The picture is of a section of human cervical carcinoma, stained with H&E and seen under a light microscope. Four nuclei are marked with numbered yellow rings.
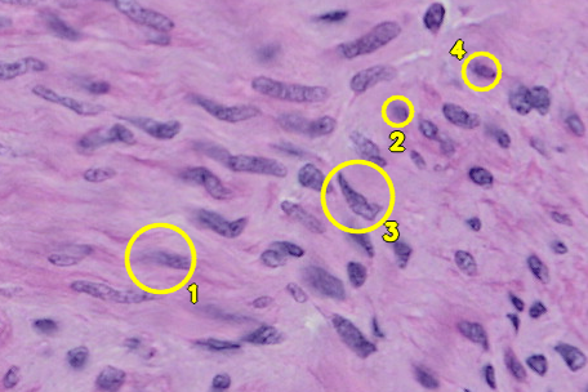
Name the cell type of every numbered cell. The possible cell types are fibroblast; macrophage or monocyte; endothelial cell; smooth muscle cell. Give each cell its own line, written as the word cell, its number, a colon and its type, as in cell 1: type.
cell 1: smooth muscle cell
cell 2: smooth muscle cell
cell 3: fibroblast
cell 4: smooth muscle cell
